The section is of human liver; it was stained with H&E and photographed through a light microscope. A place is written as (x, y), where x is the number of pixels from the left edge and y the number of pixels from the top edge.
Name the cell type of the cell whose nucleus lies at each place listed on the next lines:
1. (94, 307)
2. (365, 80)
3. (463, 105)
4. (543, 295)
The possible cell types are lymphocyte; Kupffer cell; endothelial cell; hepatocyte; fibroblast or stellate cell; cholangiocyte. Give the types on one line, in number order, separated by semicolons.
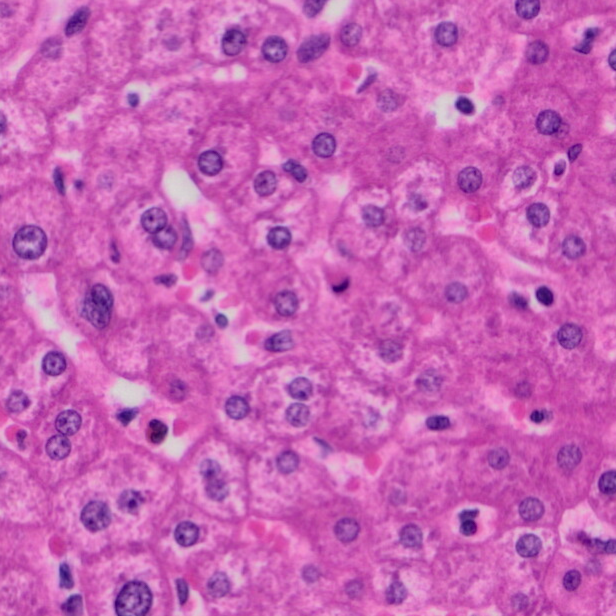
hepatocyte; endothelial cell; lymphocyte; lymphocyte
